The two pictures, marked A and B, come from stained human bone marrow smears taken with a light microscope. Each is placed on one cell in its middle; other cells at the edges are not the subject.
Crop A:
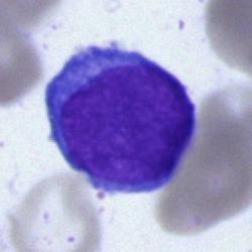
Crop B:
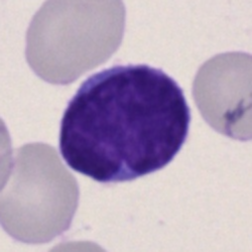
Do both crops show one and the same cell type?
no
